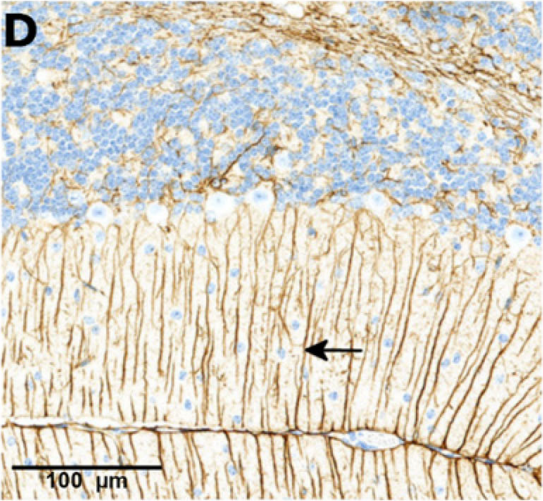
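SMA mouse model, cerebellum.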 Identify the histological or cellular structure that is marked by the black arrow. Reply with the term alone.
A: Bergman glial fibers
